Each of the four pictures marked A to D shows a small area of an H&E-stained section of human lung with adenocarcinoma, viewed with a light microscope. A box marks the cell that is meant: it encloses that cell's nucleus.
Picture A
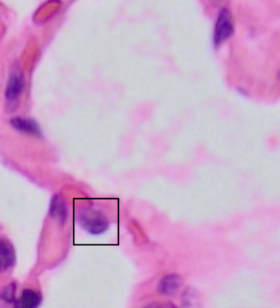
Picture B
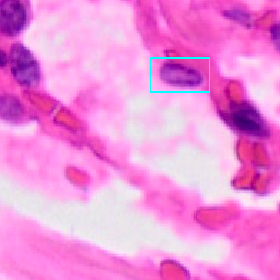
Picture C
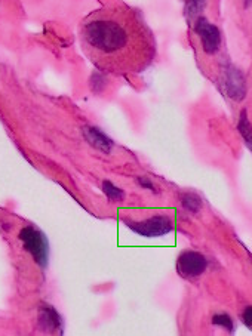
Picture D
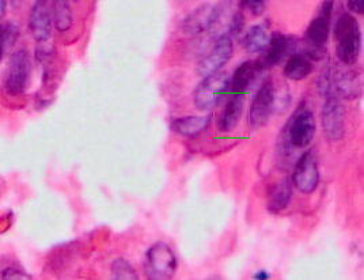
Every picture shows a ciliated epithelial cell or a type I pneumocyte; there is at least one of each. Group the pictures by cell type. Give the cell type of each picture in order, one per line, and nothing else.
type I pneumocyte
type I pneumocyte
type I pneumocyte
ciliated epithelial cell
